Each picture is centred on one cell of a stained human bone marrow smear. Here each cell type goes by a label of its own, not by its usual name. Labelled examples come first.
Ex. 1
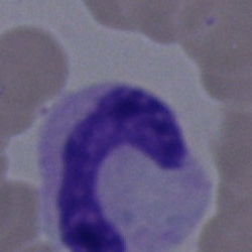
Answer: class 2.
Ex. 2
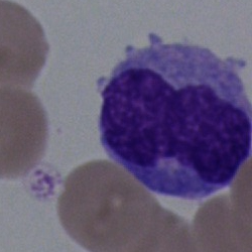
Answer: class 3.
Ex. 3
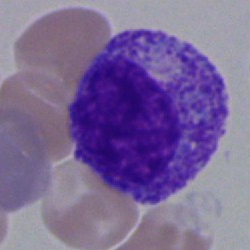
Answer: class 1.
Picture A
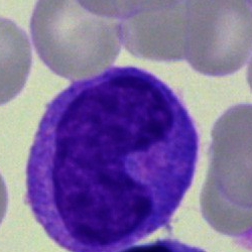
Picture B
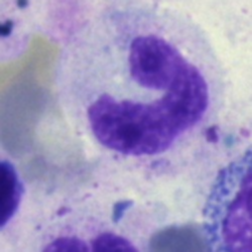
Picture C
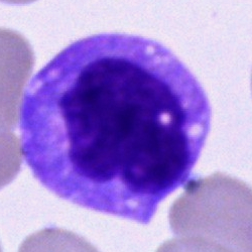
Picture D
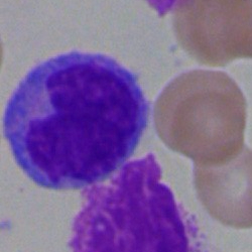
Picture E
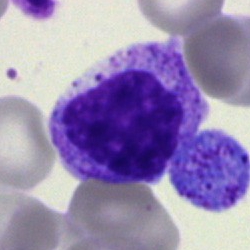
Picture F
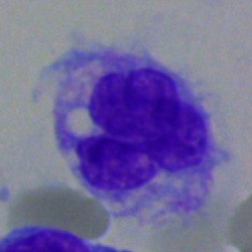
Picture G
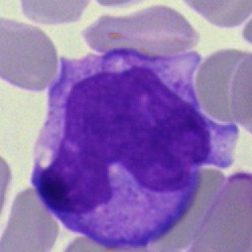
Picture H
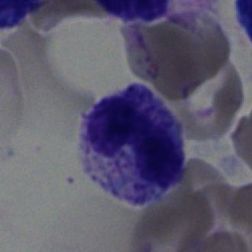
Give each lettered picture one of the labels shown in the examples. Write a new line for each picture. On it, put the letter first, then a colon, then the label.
A: class 3.
B: class 2.
C: class 3.
D: class 3.
E: class 1.
F: class 3.
G: class 3.
H: class 2.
